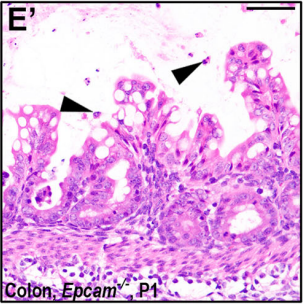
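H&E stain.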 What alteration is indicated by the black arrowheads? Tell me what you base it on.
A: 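Small rounded cells lie free in the lumen above the surface epithelium. The arrowheads point at these detached cells. On this evidence: shedding of cells.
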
